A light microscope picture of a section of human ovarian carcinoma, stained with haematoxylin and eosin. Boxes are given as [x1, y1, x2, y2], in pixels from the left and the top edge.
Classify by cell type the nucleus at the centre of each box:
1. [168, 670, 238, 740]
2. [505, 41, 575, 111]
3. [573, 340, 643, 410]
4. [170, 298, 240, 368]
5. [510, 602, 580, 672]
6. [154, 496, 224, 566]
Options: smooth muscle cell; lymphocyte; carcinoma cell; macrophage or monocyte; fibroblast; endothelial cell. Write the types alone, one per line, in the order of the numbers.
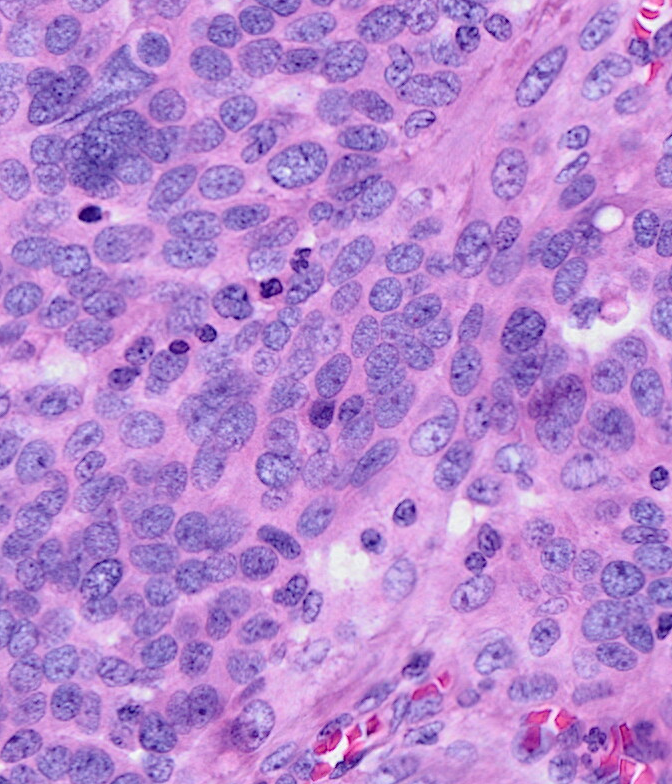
carcinoma cell
fibroblast
carcinoma cell
lymphocyte
macrophage or monocyte
carcinoma cell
